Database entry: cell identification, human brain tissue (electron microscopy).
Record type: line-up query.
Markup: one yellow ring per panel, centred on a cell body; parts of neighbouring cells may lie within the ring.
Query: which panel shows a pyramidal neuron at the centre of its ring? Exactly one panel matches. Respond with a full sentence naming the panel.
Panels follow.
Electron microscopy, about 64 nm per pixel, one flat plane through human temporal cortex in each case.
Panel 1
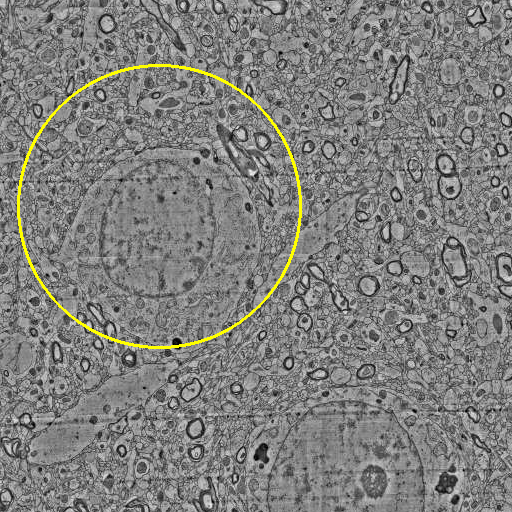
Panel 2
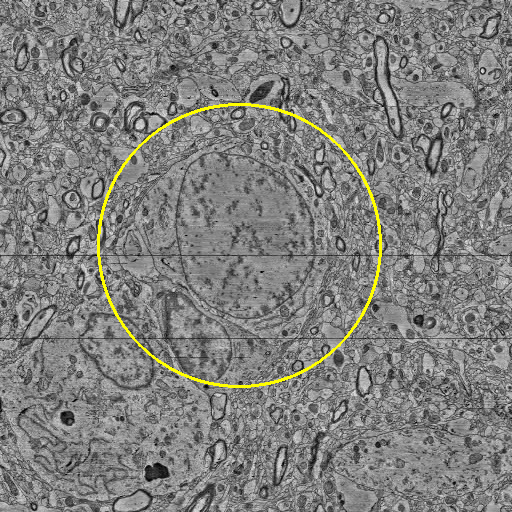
Panel 2 shows it at the centre of the ring.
